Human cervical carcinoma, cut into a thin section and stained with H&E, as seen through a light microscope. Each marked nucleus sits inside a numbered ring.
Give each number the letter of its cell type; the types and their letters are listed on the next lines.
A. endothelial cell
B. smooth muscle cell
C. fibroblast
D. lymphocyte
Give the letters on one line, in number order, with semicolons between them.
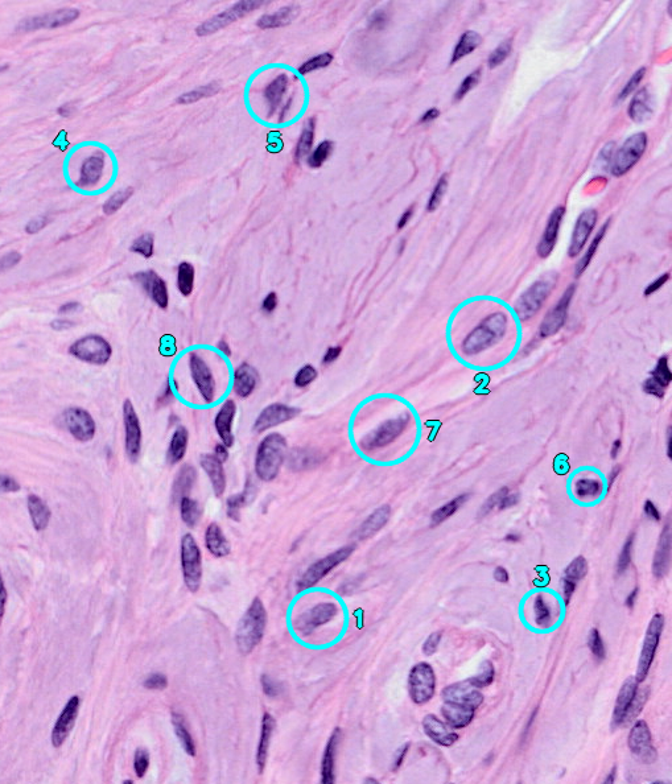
B; A; C; C; C; C; A; C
